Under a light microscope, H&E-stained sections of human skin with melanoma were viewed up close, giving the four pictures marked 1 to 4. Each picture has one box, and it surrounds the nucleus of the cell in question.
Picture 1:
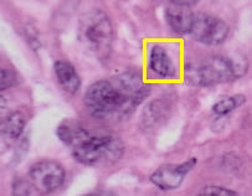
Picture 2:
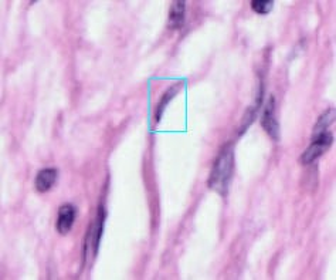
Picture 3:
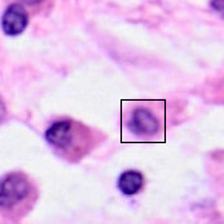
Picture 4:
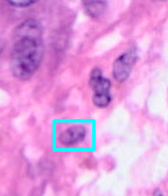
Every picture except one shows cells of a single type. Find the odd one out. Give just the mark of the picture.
2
